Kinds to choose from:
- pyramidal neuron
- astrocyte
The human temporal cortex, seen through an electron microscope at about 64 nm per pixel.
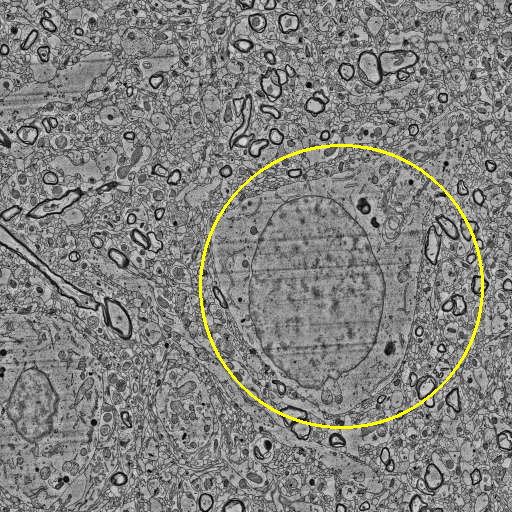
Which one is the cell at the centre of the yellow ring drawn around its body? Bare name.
pyramidal neuron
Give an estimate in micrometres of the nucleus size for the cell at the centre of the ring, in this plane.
Approximately 12 x 9 micrometres in this plane.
